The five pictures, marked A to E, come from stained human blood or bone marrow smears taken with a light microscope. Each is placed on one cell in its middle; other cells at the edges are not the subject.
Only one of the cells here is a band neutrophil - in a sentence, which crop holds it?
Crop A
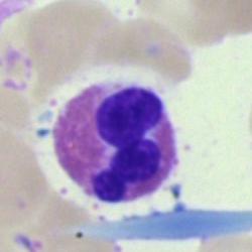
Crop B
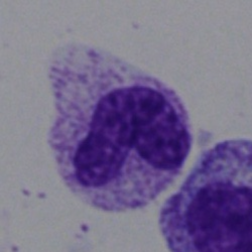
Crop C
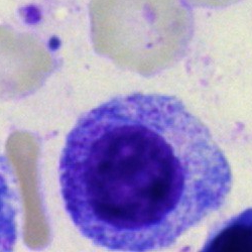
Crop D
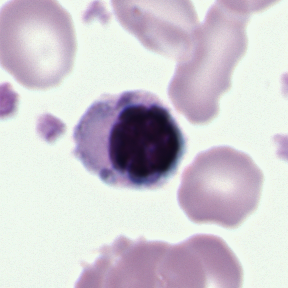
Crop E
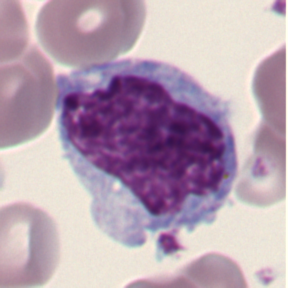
Among the crops, only crop B contains a band neutrophil.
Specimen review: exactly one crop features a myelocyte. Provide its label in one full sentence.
Crop C, of the crops presented, is the one showing a myelocyte.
